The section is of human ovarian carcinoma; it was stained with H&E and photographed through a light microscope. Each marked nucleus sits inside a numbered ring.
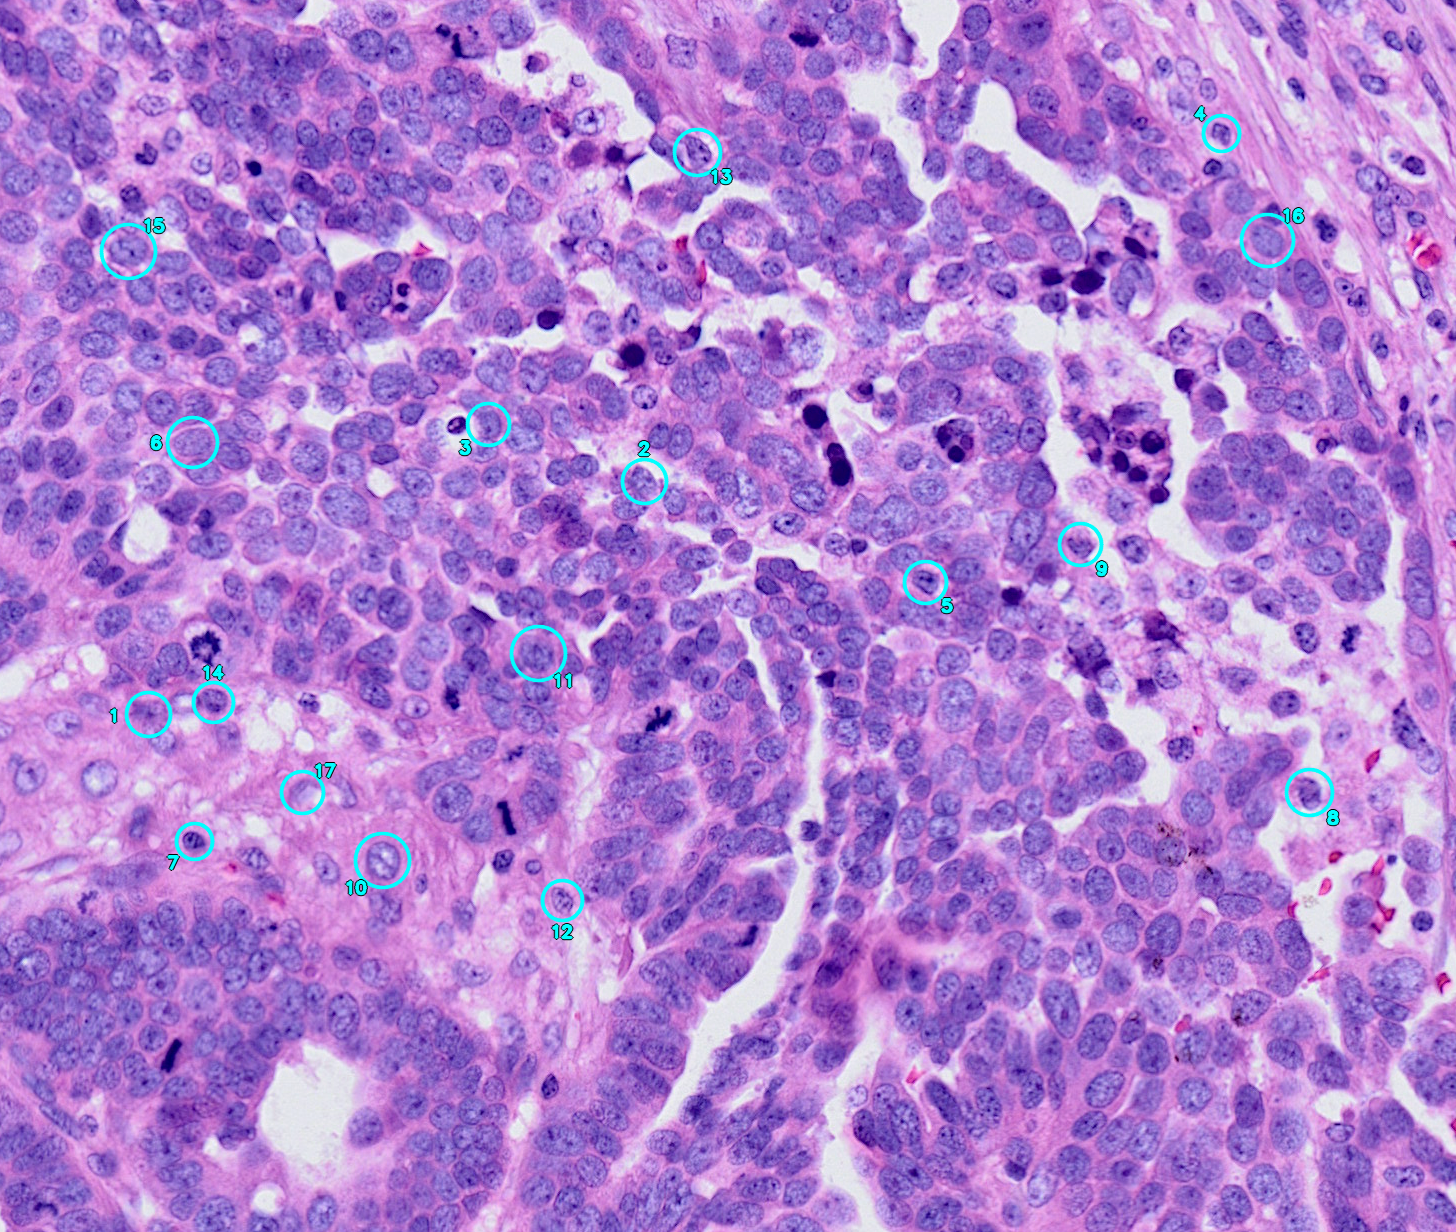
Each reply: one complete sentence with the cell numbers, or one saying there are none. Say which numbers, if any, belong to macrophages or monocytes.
The cells with the number labels 5, 8, 9, 12, 13 and 14 are macrophages or monocytes.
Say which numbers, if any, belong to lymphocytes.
Within the section, cells numbered 4 and 7 are lymphocytes.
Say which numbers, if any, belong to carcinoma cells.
The cells labelled 2, 3, 6, 11, 15 and 16 in this section are carcinoma cells.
